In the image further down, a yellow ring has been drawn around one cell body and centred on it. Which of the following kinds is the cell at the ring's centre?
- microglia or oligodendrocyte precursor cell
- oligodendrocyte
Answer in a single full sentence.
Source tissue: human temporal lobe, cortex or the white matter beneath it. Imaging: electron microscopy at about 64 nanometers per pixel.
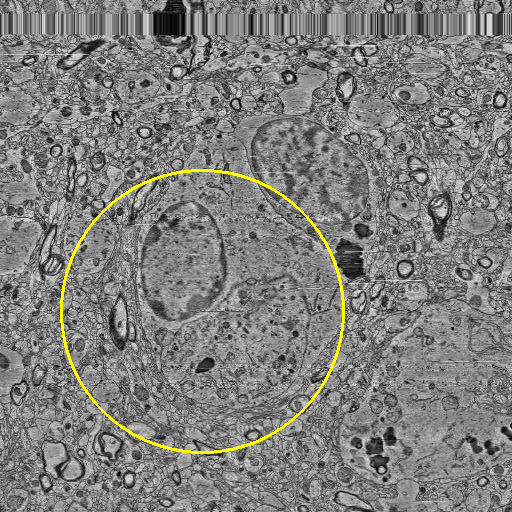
In the picture, the cell sitting at the centre of the yellow ring is a microglial cell or oligodendrocyte precursor cell.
